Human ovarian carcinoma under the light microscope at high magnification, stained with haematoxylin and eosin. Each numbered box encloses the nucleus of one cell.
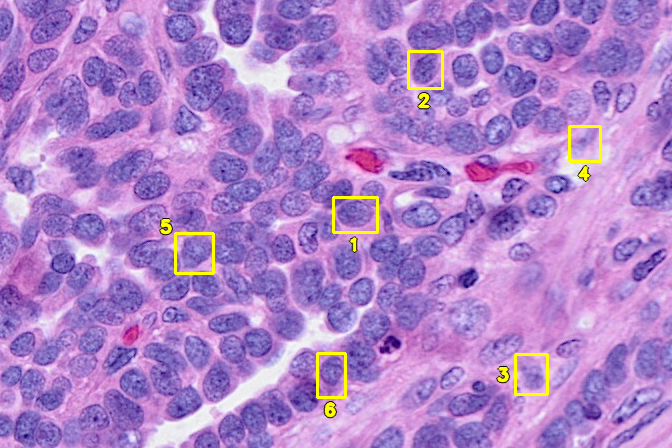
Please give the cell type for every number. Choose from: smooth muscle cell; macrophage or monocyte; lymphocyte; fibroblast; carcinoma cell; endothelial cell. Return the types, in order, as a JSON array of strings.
["carcinoma cell", "carcinoma cell", "fibroblast", "fibroblast", "carcinoma cell", "carcinoma cell"]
